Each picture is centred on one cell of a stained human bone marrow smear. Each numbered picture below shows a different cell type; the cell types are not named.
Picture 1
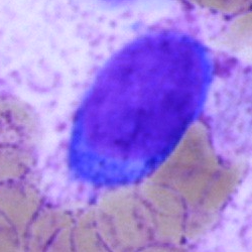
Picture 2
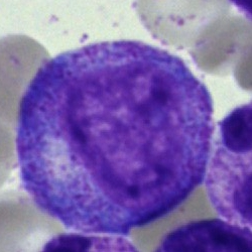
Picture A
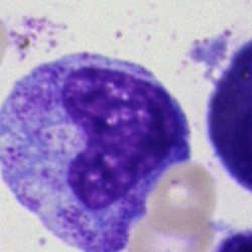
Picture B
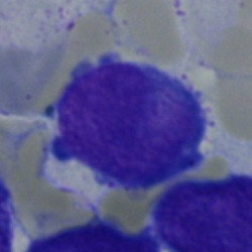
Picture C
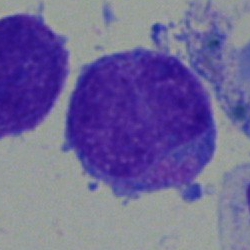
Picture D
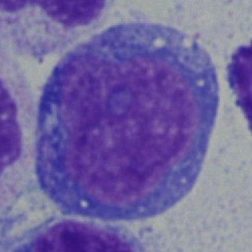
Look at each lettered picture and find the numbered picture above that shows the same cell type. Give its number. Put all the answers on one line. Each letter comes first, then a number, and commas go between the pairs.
A 2, B 1, C 1, D 1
